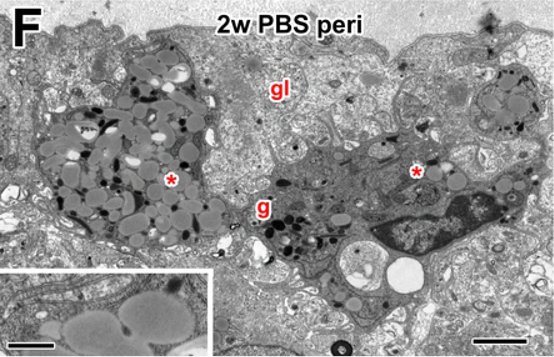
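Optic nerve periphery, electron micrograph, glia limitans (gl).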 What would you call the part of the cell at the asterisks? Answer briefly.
Lipid inclusions.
